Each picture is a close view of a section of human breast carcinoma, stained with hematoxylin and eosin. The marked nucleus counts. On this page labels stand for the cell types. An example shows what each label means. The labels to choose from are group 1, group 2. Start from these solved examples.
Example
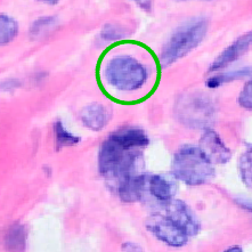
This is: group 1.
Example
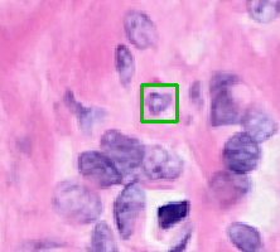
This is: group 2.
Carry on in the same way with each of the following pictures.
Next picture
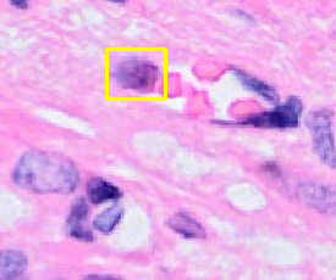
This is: group 2.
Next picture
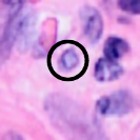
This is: group 2.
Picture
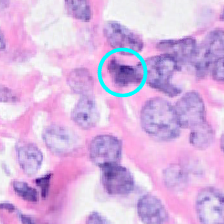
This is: group 1.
